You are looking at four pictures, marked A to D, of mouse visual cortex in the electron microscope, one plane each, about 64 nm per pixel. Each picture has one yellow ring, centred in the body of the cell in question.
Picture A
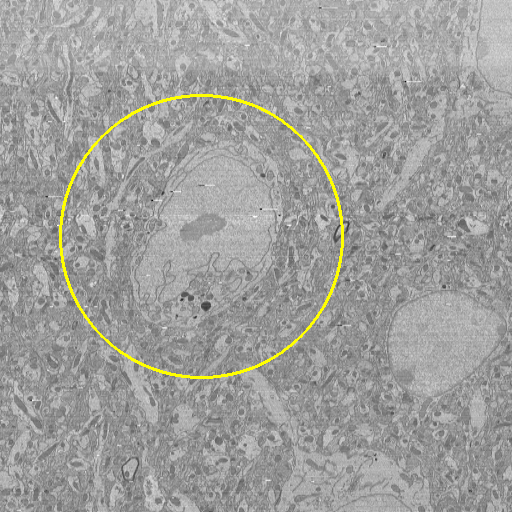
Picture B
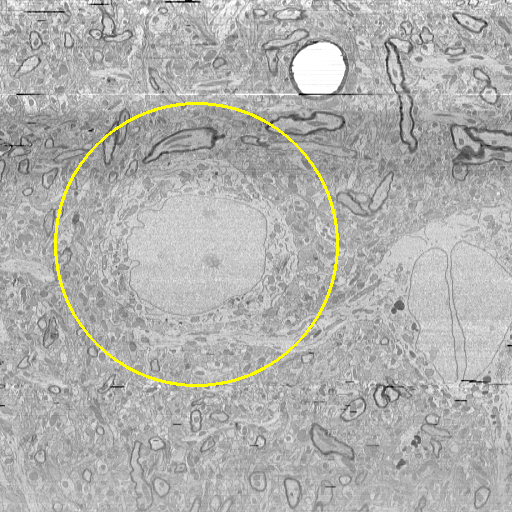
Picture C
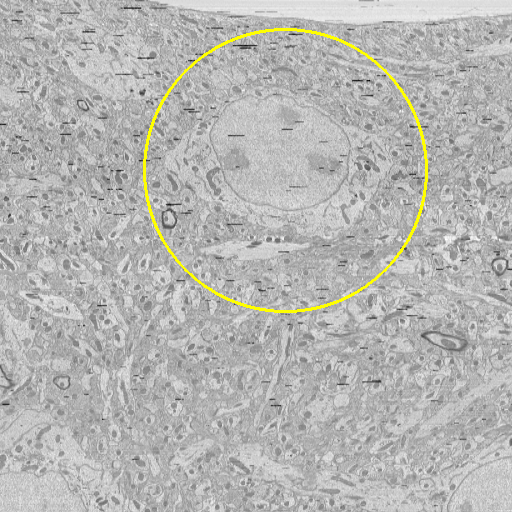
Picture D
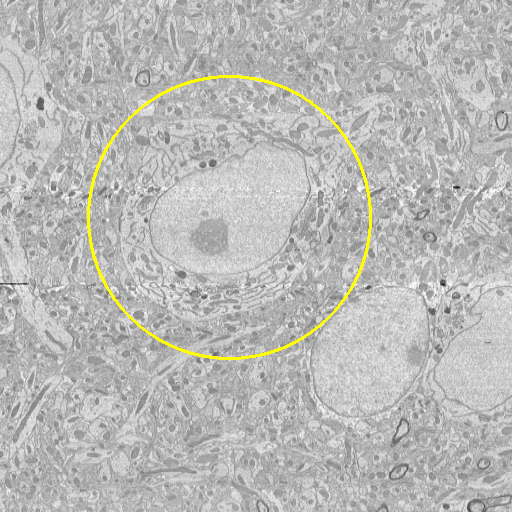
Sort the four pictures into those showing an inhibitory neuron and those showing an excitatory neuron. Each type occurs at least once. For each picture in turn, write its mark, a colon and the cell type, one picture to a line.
A: inhibitory neuron
B: inhibitory neuron
C: excitatory neuron
D: inhibitory neuron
